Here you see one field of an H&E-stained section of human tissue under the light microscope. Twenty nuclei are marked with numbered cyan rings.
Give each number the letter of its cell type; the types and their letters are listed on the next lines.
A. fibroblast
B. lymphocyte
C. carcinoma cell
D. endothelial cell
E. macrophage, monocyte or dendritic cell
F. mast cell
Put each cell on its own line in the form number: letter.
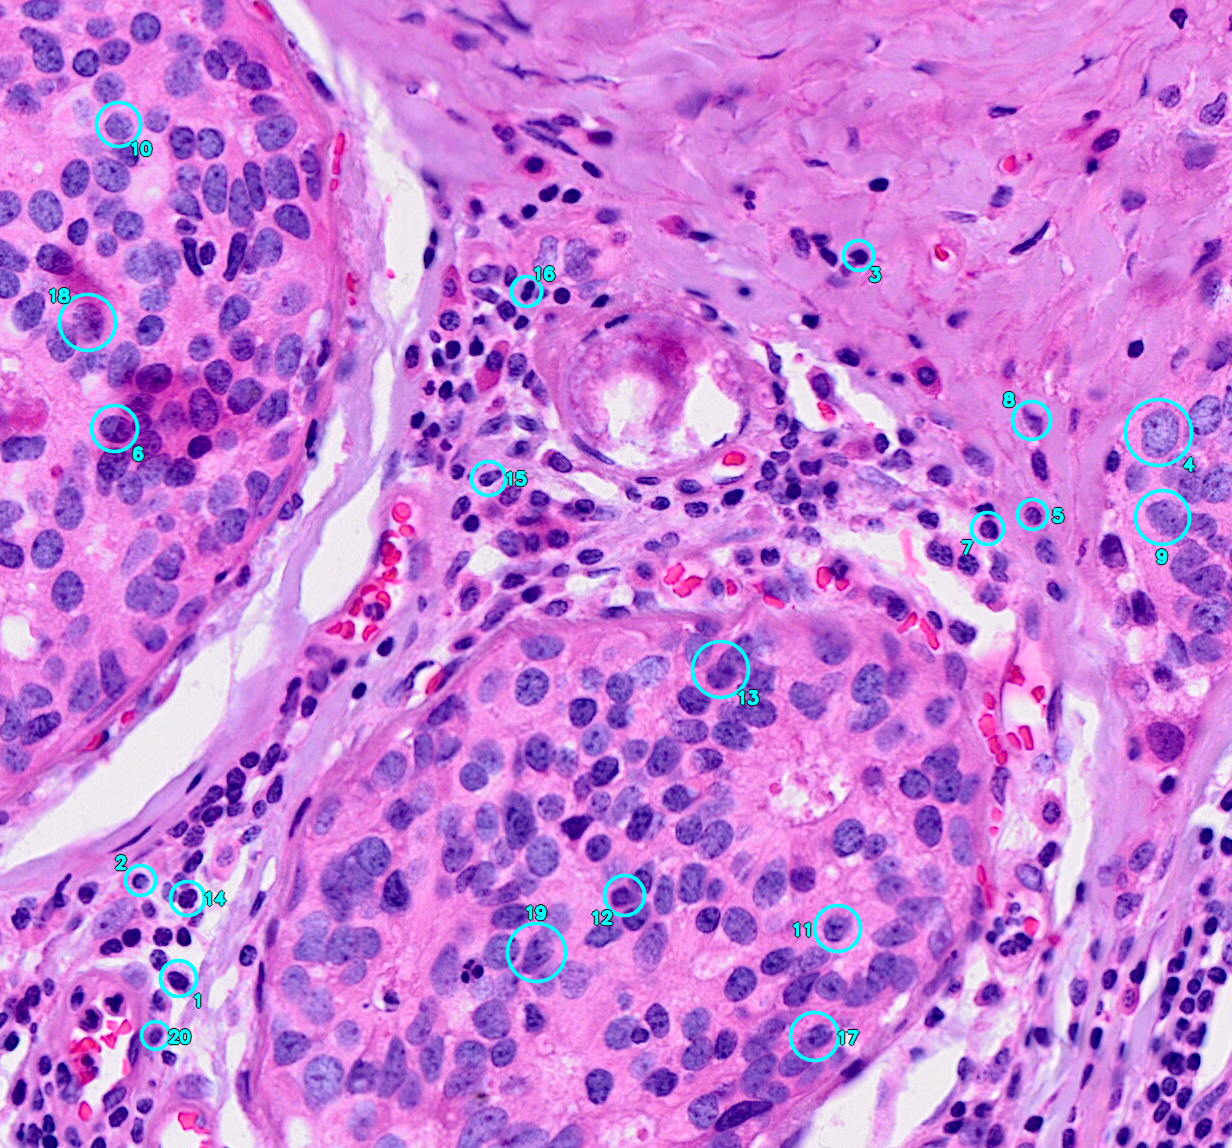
1: B
2: B
3: B
4: C
5: F
6: C
7: B
8: A
9: C
10: C
11: C
12: C
13: C
14: B
15: B
16: B
17: C
18: C
19: C
20: B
